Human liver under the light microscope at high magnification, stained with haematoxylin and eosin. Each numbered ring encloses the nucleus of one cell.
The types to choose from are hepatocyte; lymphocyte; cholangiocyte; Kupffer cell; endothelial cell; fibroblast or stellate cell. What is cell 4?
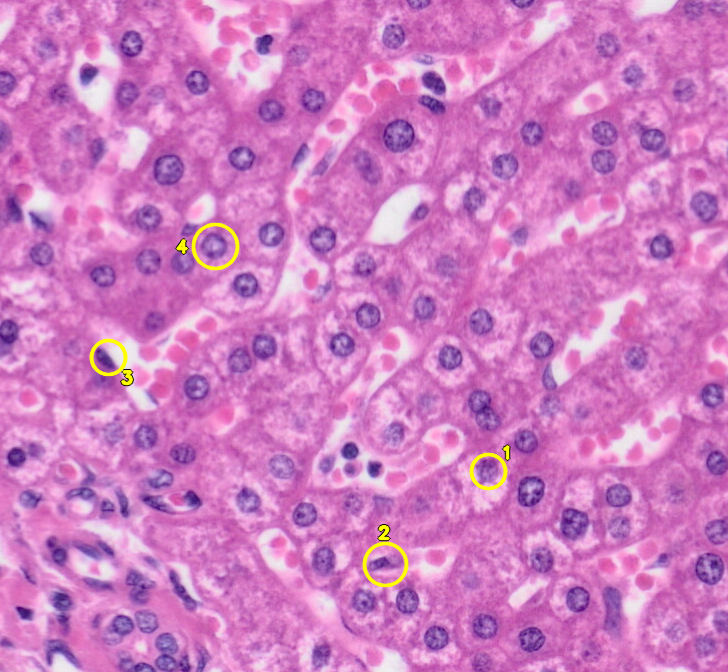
hepatocyte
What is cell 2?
Kupffer cell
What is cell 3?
fibroblast or stellate cell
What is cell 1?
hepatocyte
